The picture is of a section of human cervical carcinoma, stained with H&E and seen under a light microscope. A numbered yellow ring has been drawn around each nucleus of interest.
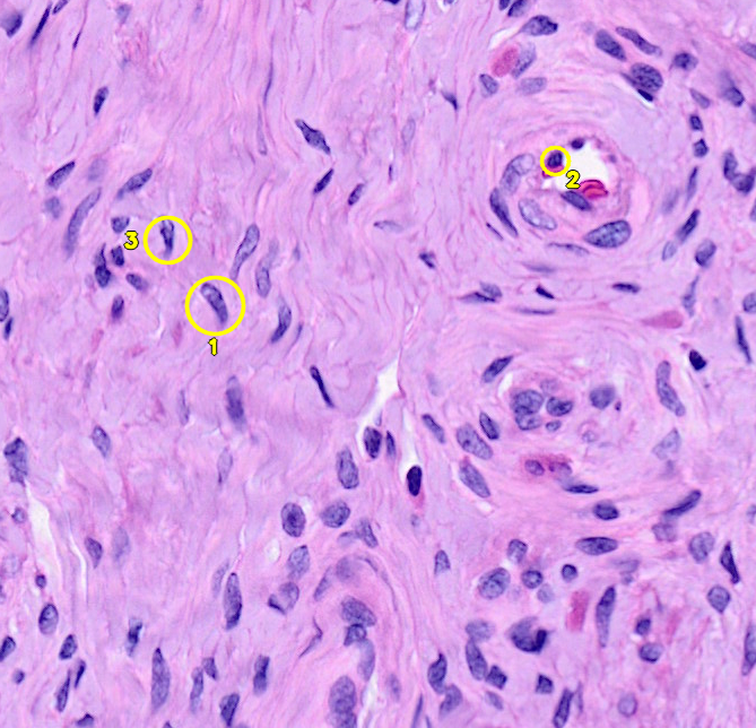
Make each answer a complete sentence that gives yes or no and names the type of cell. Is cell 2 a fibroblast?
No, not a fibroblast: the cell with number 2 is an endothelial cell.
